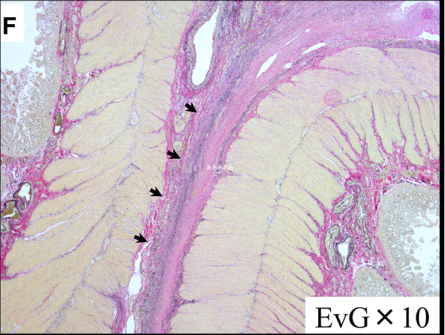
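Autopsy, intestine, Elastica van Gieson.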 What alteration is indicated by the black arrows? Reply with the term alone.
Adhesion of the serous membrane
